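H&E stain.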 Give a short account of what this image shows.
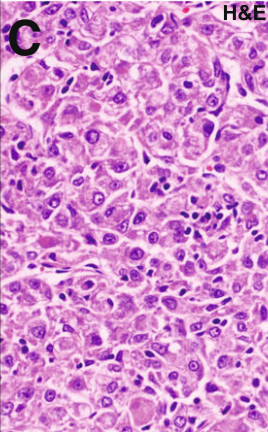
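Nuclei are round to oval, often centrally placed, with visible nucleoli; some cells are larger with bigger nuclei. Thin delicate strands separate small nests of cells, but there are no glands or tubules and no fat cells in this field. Scattered small dark nuclei between the large cells may belong to stromal or inflammatory cells.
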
